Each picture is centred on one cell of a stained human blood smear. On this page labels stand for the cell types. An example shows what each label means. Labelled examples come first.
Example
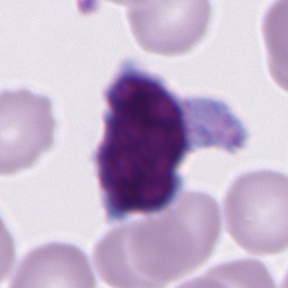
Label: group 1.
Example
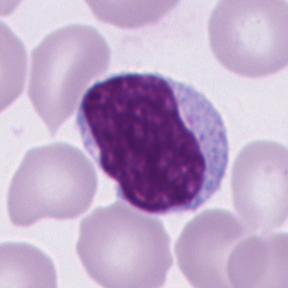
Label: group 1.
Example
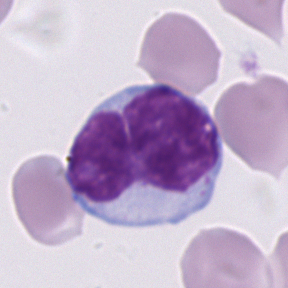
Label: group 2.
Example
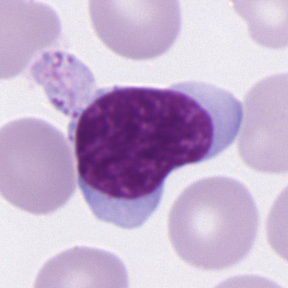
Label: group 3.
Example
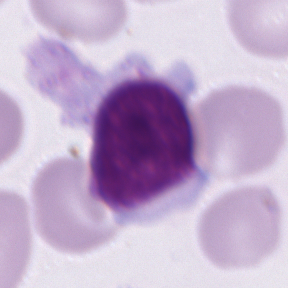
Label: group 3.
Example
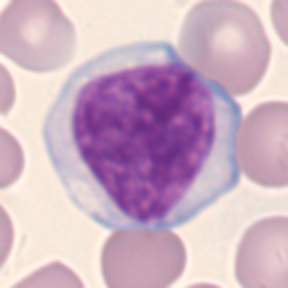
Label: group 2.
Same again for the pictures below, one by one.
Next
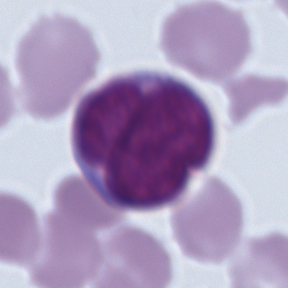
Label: group 2.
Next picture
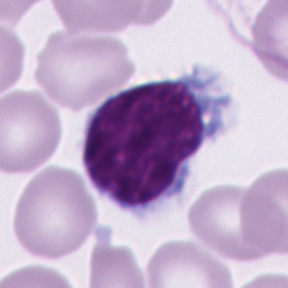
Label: group 1.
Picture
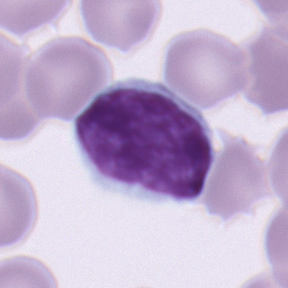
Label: group 1.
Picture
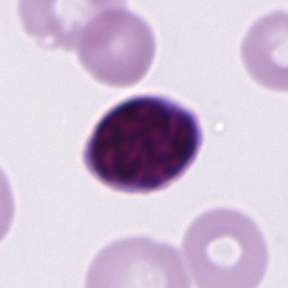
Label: group 3.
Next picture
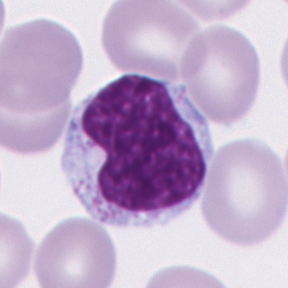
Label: group 3.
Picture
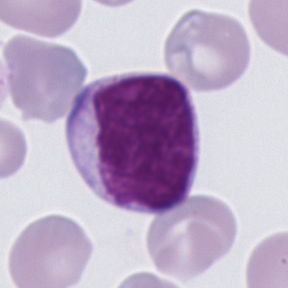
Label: group 3.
